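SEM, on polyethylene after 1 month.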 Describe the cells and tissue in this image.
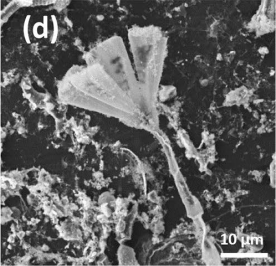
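Several wedge-shaped cells spread out in a fan from a common point. This point sits on a long slender stalk running down to the surface. Fibrous and granular debris covers the surroundings.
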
